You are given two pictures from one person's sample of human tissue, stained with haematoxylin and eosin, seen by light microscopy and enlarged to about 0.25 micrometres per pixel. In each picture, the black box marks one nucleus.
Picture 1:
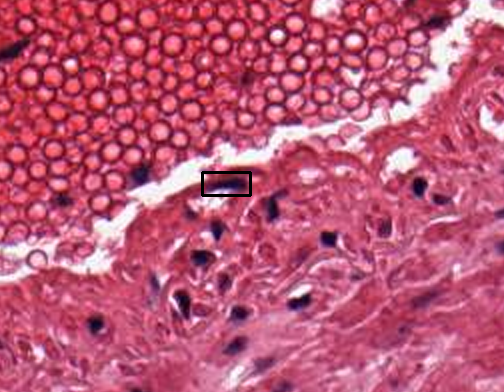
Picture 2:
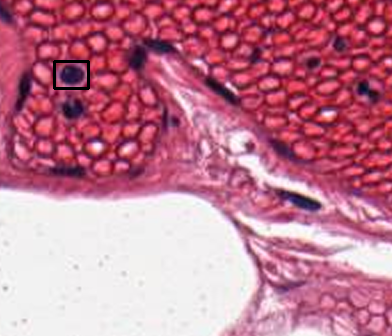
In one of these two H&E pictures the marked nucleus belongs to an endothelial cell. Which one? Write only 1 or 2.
1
